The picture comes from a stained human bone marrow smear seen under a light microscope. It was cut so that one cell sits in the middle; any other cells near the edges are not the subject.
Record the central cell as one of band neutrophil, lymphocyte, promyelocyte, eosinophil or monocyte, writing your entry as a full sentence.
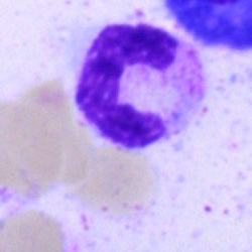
The cell sitting right in the middle is a band neutrophil.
